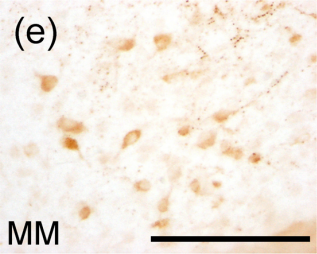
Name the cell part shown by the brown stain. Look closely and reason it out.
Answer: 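Scattered brown-stained rounded and oval bodies stand out against a pale background. Some of the stained bodies taper into short processes.
Perikarya.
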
